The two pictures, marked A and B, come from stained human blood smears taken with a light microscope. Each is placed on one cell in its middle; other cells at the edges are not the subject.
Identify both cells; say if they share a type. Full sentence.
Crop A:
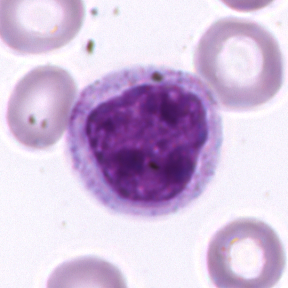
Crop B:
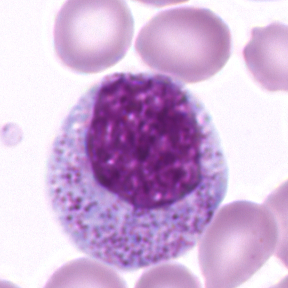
No, crop A carries a metamyelocyte at its centre, and crop B carries a myelocyte.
